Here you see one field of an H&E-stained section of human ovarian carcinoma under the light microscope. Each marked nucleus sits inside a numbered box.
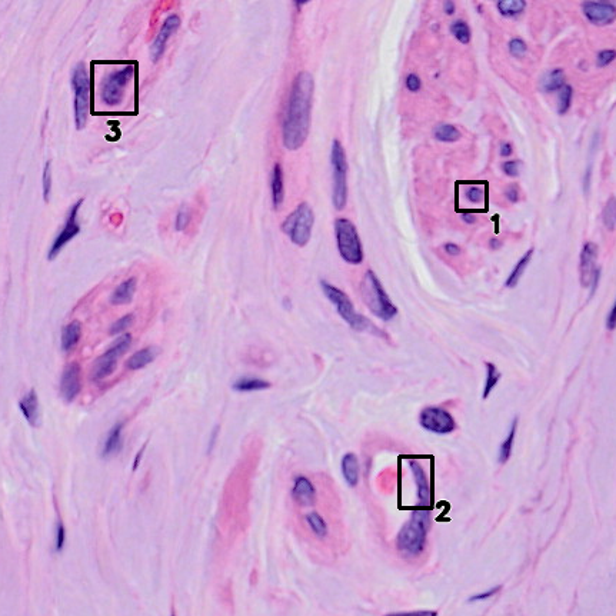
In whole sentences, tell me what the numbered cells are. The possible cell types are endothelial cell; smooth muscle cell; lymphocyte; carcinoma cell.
Cell 1 is a smooth muscle cell, cell 2 is an endothelial cell and cell 3 is an endothelial cell.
